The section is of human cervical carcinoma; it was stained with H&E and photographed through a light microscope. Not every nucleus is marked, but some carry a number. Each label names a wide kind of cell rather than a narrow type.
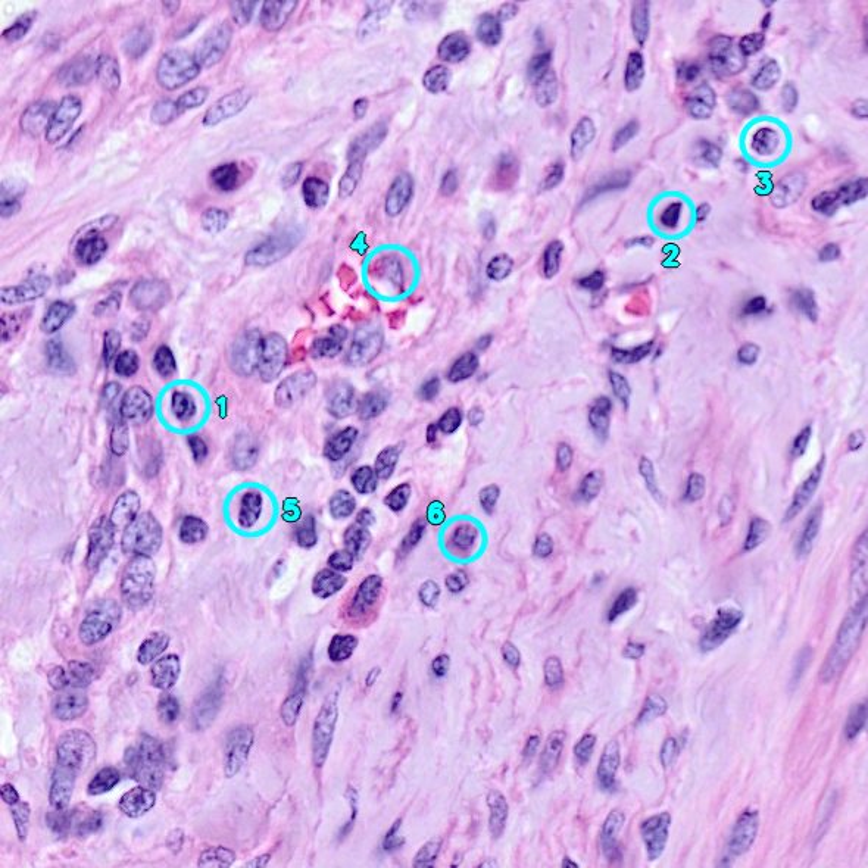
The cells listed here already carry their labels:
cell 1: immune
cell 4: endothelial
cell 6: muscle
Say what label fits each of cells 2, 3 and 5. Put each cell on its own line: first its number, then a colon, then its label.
2: immune
3: immune
5: immune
